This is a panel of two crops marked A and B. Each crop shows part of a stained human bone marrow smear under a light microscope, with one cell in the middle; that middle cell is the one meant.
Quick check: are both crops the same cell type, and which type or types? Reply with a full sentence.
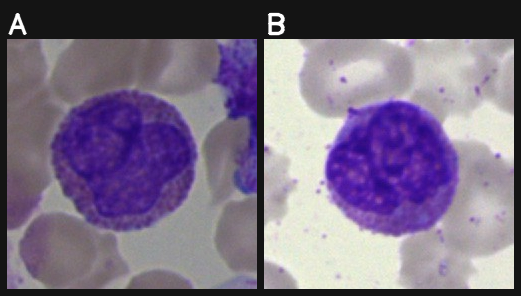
Yes, both crops show eosinophils in the middle.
